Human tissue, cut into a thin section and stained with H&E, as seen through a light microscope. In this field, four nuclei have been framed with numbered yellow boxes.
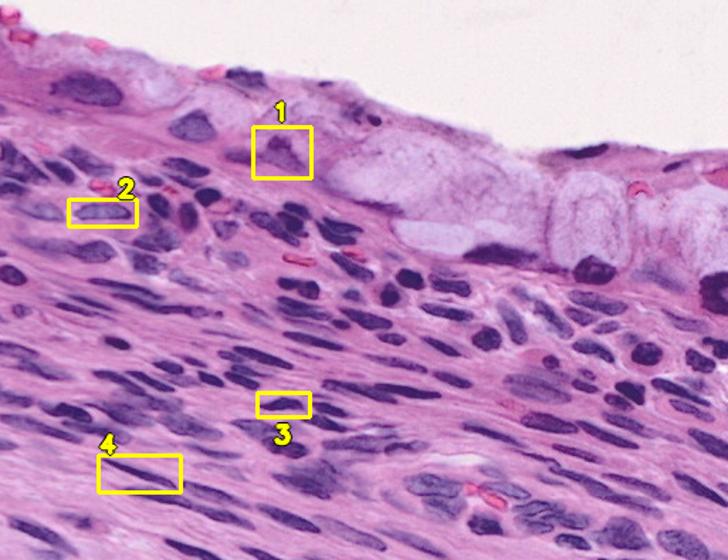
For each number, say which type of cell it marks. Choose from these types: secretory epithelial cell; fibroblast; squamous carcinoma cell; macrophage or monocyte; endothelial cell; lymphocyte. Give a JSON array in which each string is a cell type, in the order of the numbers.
["secretory epithelial cell", "endothelial cell", "fibroblast", "fibroblast"]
